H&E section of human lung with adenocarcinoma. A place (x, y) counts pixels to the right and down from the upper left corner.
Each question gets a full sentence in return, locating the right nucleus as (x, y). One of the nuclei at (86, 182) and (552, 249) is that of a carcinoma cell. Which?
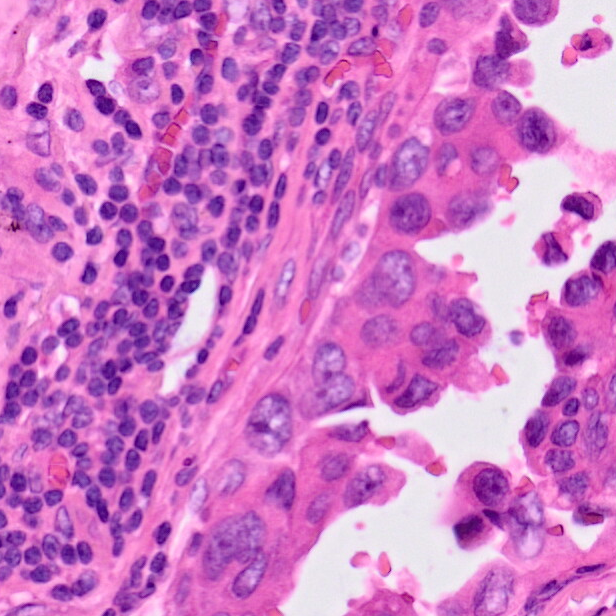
The nucleus lying at (552, 249) is the nucleus of a carcinoma cell.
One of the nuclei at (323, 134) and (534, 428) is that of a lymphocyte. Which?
Identify the nucleus at (323, 134) as the one belonging to a lymphocyte.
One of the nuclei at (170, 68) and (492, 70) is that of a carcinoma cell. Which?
The nucleus at (492, 70) is attributed to a carcinoma cell, unlike the other nucleus.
